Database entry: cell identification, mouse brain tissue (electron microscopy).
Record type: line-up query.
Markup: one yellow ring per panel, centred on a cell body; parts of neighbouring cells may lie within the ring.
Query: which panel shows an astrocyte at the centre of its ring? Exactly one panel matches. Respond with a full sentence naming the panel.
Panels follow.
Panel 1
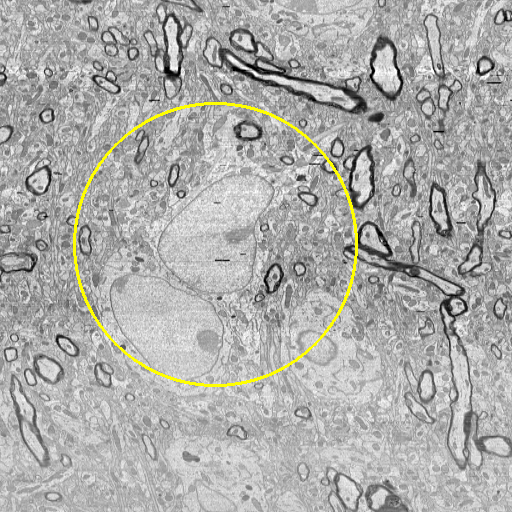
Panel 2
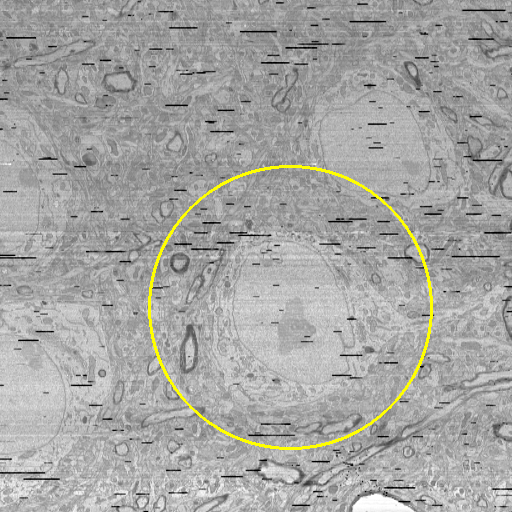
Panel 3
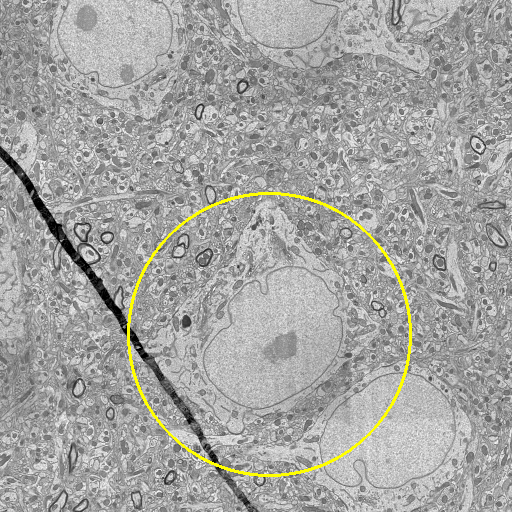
Panel 1 shows it at the centre of the ring.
